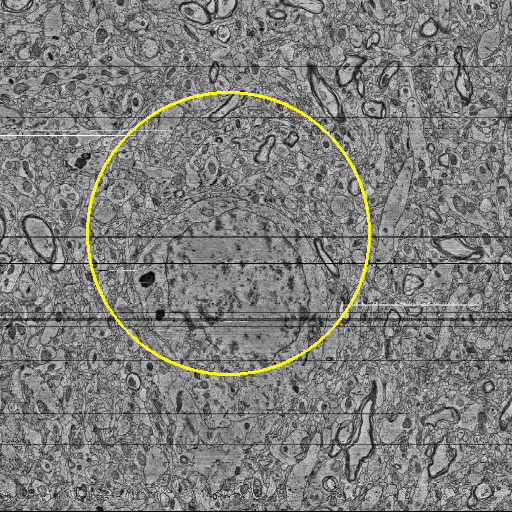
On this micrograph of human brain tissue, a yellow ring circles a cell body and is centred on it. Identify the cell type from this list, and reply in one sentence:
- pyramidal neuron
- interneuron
The cell at the centre is a pyramidal neuron.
